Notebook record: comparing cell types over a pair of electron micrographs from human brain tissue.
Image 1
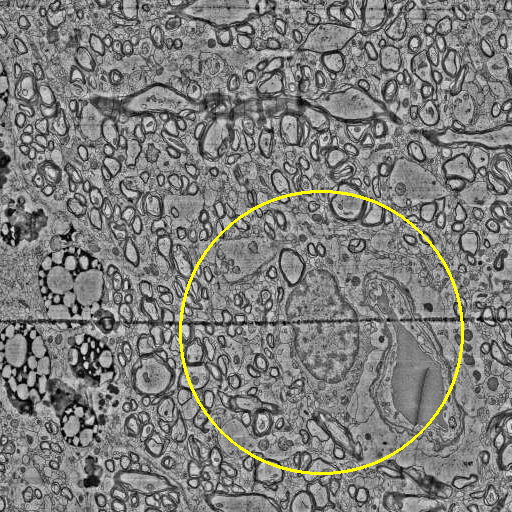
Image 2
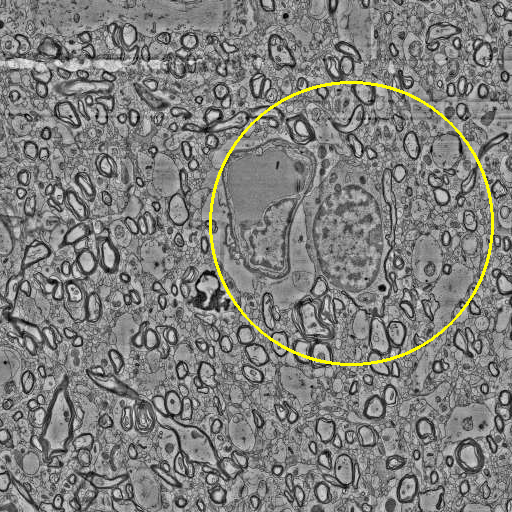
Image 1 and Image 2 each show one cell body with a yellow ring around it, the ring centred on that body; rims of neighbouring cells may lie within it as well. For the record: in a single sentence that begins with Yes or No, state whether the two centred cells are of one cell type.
Yes, one cell type is shared by the centred cells of Image 1 and Image 2.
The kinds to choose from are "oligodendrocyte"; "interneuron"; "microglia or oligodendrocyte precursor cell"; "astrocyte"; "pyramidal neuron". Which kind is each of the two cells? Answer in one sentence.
In each of the two pictures, the ringed cell is an oligodendrocyte.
